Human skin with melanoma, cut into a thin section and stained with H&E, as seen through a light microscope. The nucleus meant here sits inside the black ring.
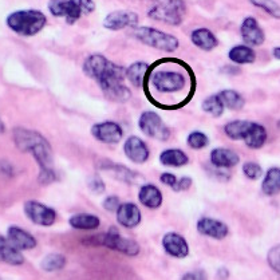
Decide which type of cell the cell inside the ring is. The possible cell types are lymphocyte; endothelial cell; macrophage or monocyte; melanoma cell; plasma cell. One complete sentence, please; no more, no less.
It is as a lymphocyte that the cell inside the ring is classified.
